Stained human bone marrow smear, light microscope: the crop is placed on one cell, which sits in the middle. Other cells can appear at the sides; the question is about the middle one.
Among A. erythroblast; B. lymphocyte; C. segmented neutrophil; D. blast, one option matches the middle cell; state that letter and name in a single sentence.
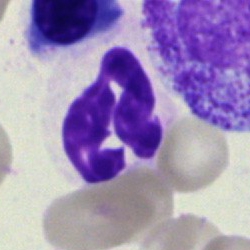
For this crop, option C is right, the centered cell being a segmented neutrophil.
